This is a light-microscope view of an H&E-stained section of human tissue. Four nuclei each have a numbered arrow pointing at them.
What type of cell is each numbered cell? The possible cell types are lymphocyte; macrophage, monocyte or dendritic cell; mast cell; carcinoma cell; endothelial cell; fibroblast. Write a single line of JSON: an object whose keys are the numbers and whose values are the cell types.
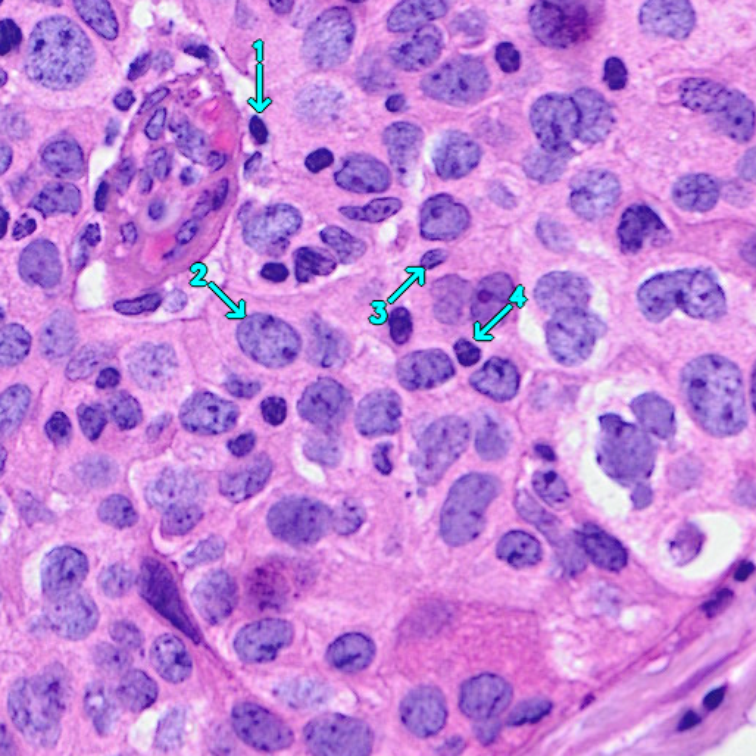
{"1": "lymphocyte", "2": "carcinoma cell", "3": "lymphocyte", "4": "lymphocyte"}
